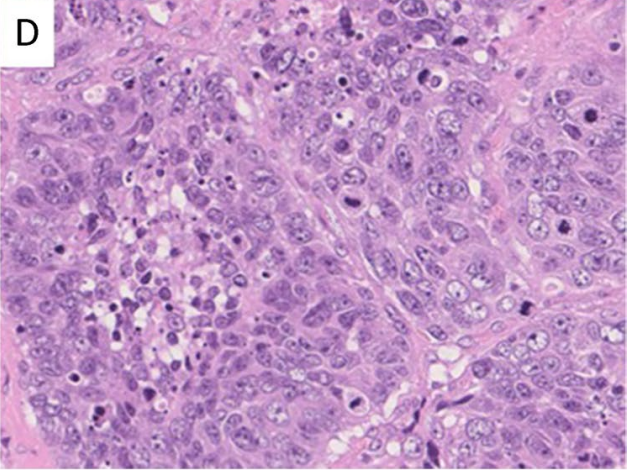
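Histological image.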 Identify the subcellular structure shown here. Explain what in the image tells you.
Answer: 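Many vesicular nuclei contain a prominent dark nucleolus. The answer: distinct nucleoli.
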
